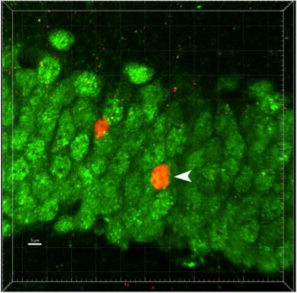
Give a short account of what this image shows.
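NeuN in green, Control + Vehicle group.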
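A tightly packed band of small, rounded neurons fills most of the field, each shown in green with a mottled, granular texture. The cells are of fairly even size and press against one another with hardly any space between them, the appearance of the granule cell layer of the dentate gyrus. Two of these cells have a bright red, round nucleus that stands out from the green around it, and an arrowhead marks one of them. The red-marked cells match their green neighbours in size and shape, so they are neurons of the same layer rather than a different cell type. Toward one edge the packing loosens and the ground is darker and more scattered.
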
